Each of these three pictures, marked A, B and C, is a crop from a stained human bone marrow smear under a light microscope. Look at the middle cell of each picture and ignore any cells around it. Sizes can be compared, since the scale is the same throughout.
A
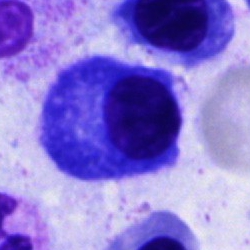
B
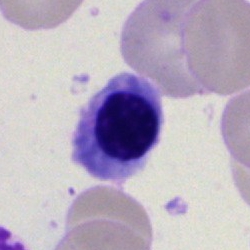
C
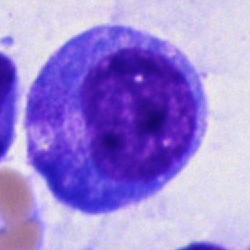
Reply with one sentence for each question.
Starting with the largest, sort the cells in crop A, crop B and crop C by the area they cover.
From the largest down, the order is C, A, B.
